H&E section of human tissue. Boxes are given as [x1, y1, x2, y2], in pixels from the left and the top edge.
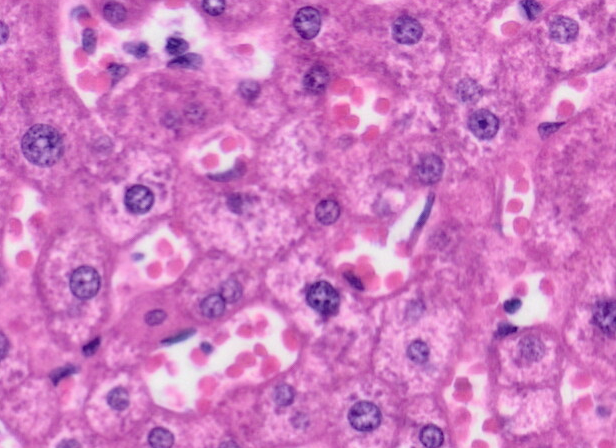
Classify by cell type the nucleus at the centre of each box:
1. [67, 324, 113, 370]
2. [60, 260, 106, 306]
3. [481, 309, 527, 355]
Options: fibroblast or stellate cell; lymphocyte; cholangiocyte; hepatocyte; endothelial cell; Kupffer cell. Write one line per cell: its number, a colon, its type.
1: fibroblast or stellate cell
2: hepatocyte
3: fibroblast or stellate cell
